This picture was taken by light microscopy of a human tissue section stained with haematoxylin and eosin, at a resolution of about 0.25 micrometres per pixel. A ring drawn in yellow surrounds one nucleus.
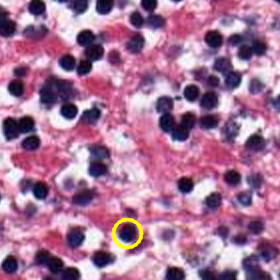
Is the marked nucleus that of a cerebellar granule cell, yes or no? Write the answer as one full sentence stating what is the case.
Yes, the marked nucleus is the nucleus of a cerebellar granule cell in this section.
